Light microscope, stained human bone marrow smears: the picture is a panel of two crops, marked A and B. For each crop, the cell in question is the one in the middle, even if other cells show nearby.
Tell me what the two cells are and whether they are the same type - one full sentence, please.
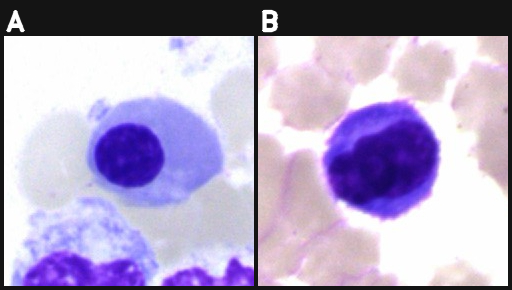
No, crop A contains a normoblast, while crop B contains a plasma cell.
